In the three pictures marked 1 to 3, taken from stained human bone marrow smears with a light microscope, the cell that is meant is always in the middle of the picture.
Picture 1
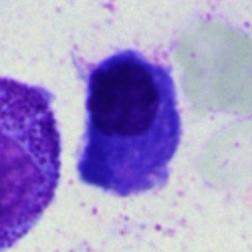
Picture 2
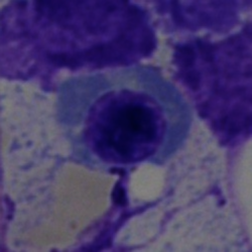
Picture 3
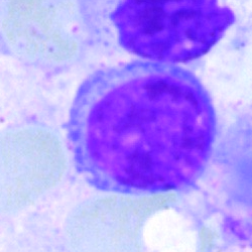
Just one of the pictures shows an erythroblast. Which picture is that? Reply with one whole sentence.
The picture with the erythroblast is 2.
